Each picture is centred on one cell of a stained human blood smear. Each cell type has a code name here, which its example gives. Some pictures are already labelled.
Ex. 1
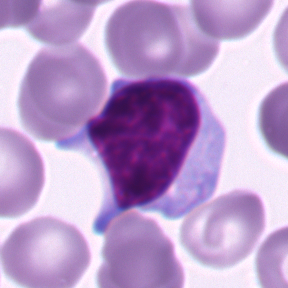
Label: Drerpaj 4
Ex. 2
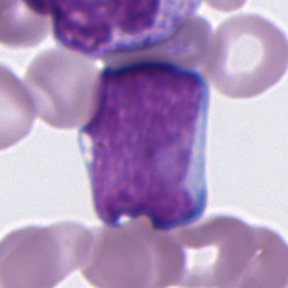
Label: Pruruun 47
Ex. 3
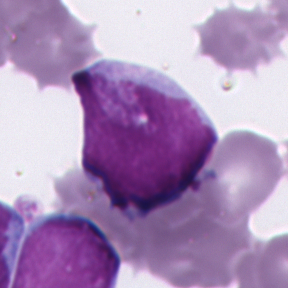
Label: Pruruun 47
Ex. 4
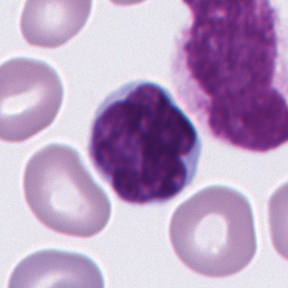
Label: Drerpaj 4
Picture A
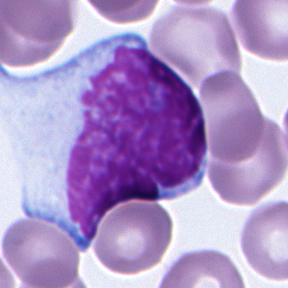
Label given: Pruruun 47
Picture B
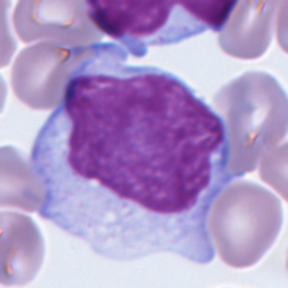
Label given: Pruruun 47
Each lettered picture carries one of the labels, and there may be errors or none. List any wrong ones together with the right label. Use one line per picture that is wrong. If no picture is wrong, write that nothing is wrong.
All correct.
